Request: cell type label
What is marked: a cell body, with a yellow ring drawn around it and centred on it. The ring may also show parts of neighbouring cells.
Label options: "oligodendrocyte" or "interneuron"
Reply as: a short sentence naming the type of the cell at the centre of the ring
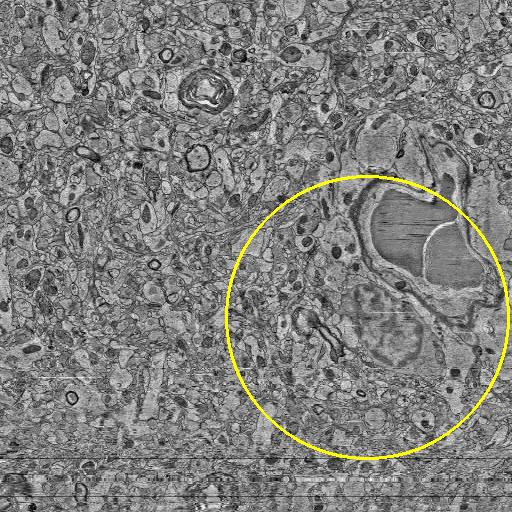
The marked cell body is that of an oligodendrocyte.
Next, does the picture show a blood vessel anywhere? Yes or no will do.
Yes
